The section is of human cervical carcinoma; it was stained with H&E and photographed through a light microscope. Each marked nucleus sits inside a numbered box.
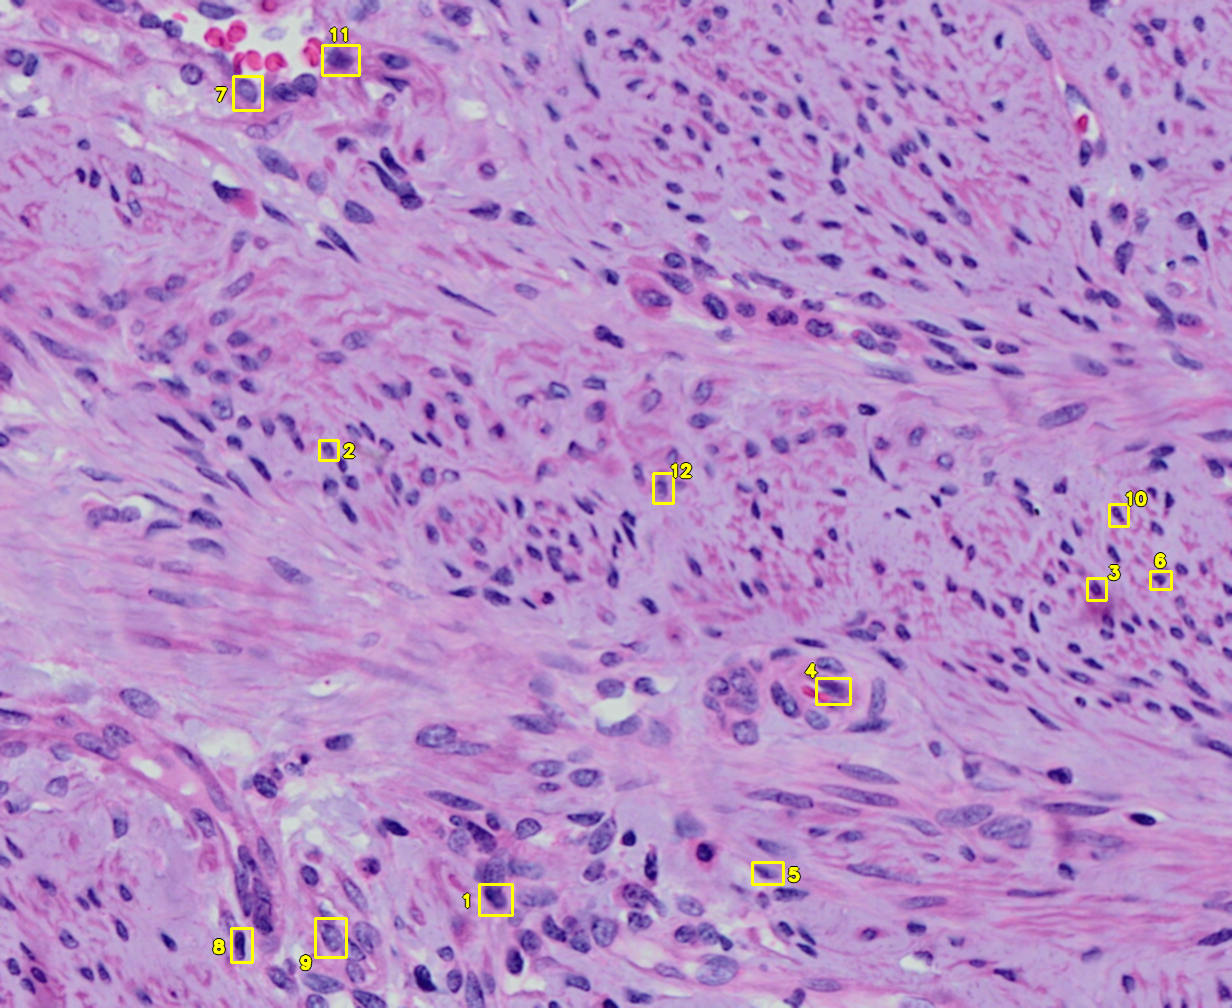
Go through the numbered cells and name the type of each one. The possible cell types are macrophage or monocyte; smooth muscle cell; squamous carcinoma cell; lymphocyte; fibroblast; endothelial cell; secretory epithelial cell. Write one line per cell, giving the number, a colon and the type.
1: lymphocyte
2: smooth muscle cell
3: smooth muscle cell
4: endothelial cell
5: fibroblast
6: smooth muscle cell
7: endothelial cell
8: lymphocyte
9: endothelial cell
10: smooth muscle cell
11: endothelial cell
12: smooth muscle cell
